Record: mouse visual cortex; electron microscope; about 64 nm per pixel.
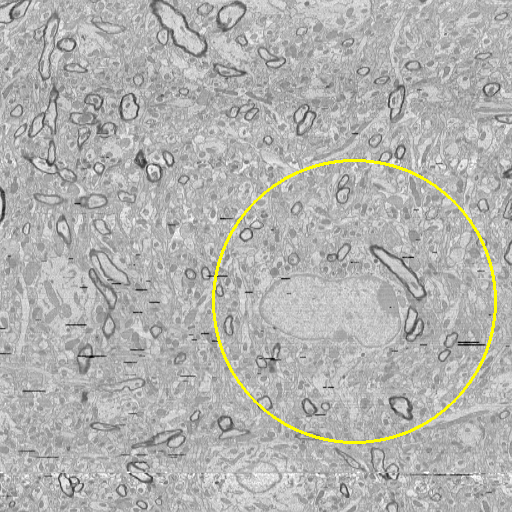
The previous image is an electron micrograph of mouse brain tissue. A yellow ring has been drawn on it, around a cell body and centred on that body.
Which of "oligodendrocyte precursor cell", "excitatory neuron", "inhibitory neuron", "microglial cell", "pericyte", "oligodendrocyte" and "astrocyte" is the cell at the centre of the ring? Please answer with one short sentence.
The cell body at the centre of the ring belongs to an oligodendrocyte precursor cell.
